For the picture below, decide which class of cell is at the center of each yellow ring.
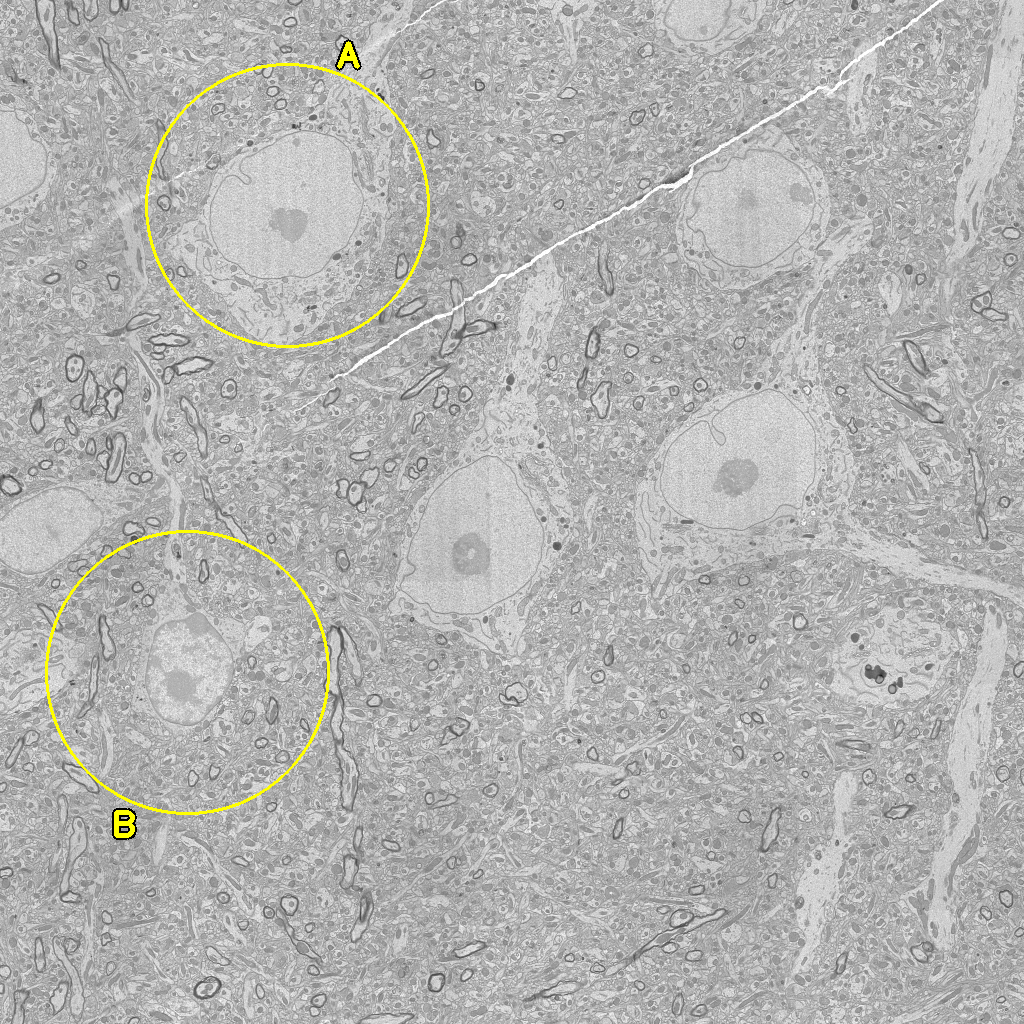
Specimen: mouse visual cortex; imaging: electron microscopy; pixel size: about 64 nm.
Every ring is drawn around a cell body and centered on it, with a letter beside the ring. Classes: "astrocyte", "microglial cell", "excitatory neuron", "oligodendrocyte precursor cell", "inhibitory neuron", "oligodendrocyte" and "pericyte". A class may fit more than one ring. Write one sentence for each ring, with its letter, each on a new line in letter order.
Centered in ring A is an excitatory neuron.
Centered in ring B is an oligodendrocyte.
